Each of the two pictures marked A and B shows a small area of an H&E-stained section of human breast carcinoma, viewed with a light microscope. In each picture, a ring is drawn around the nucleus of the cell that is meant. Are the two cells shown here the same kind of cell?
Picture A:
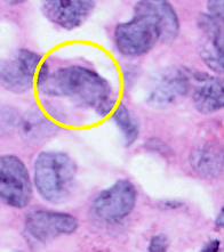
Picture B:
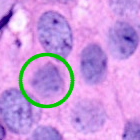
yes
